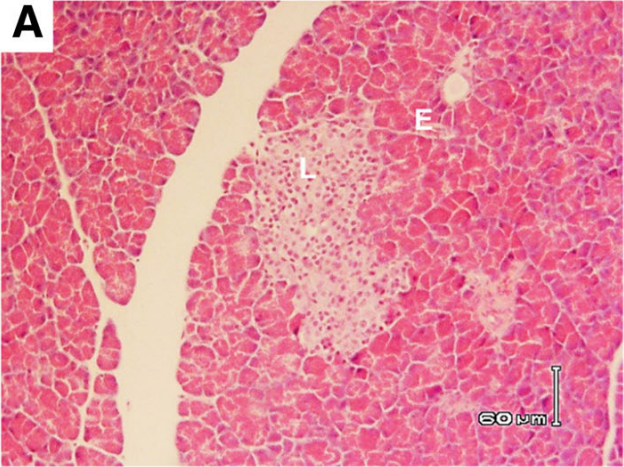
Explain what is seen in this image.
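This section of pancreas shows a large pale islet lying among the deep pink exocrine acini. The acinar cells are grouped in small clusters with strongly pink cytoplasm and purple nuclei, separated by thin clear clefts. The islet is a broad, irregular, pale-staining area made of smaller, lightly stained cells with small dark nuclei, sharply set off from the acini. A wide clear band of connective tissue space runs down the left side of the field.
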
